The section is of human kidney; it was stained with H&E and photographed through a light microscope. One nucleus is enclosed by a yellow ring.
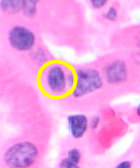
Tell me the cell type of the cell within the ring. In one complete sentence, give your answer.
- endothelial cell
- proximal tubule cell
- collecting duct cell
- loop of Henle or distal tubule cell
In terms of identity, the cell within the ring is a collecting duct cell.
